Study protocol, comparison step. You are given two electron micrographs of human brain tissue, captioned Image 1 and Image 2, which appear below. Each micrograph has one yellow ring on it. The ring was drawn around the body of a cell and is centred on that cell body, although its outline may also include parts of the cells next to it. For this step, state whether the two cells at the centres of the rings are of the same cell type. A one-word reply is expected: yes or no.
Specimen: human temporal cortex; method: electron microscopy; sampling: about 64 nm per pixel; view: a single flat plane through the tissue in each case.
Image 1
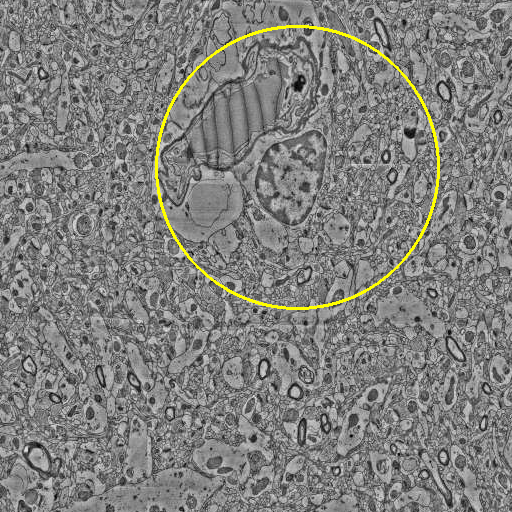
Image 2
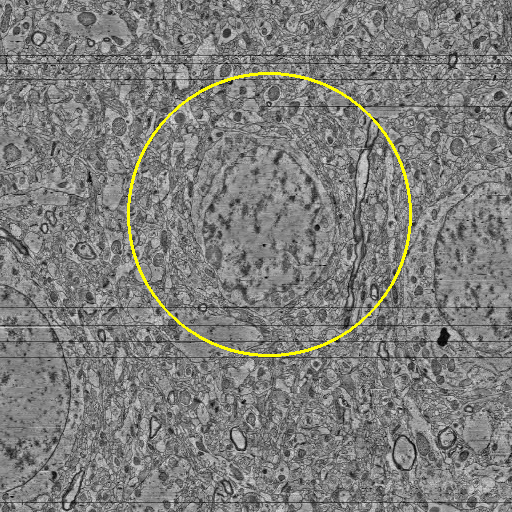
no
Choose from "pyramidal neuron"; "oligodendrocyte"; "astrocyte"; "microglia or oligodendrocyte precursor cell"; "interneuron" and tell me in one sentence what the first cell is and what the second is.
What the first ring is centred on is a microglial cell or oligodendrocyte precursor cell; what the second ring is centred on is an interneuron.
